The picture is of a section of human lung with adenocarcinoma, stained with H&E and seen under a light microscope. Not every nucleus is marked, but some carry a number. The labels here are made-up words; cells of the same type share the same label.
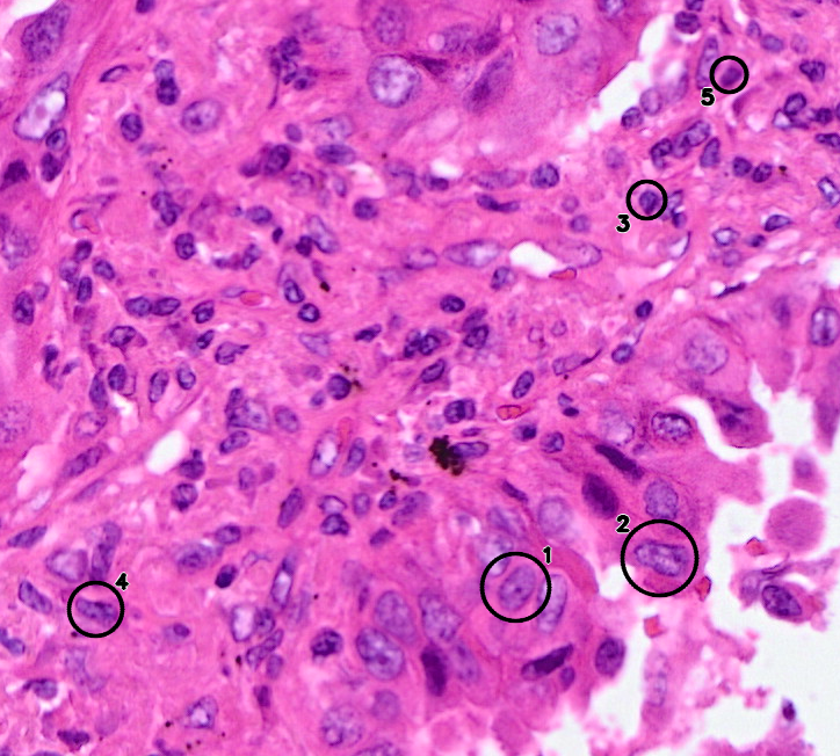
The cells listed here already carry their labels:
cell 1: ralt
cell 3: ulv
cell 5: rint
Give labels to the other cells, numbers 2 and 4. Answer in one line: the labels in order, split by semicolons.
ralt; rint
